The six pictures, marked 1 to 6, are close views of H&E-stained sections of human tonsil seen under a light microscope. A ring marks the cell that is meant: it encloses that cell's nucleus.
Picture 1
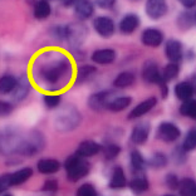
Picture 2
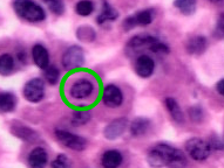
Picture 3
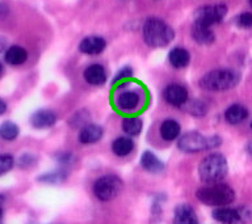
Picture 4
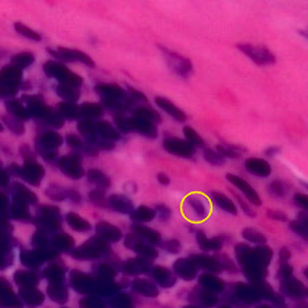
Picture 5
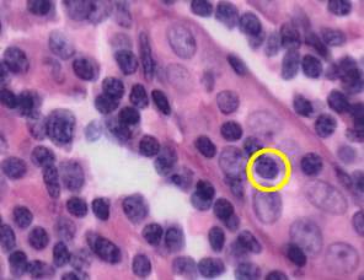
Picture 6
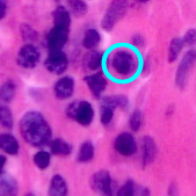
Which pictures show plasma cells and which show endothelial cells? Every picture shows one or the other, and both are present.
1: endothelial cell
2: plasma cell
3: plasma cell
4: endothelial cell
5: endothelial cell
6: plasma cell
